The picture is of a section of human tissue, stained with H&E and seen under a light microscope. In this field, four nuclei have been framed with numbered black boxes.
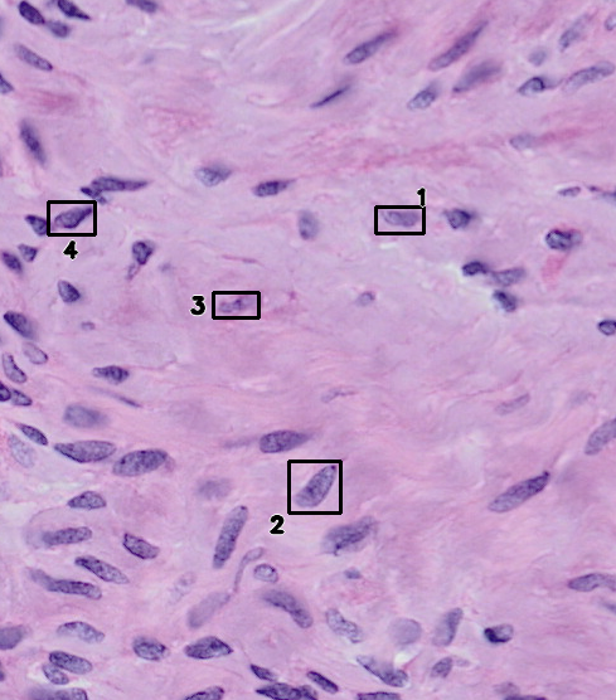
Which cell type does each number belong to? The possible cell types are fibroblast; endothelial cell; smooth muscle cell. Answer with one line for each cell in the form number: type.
1: fibroblast
2: fibroblast
3: smooth muscle cell
4: fibroblast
